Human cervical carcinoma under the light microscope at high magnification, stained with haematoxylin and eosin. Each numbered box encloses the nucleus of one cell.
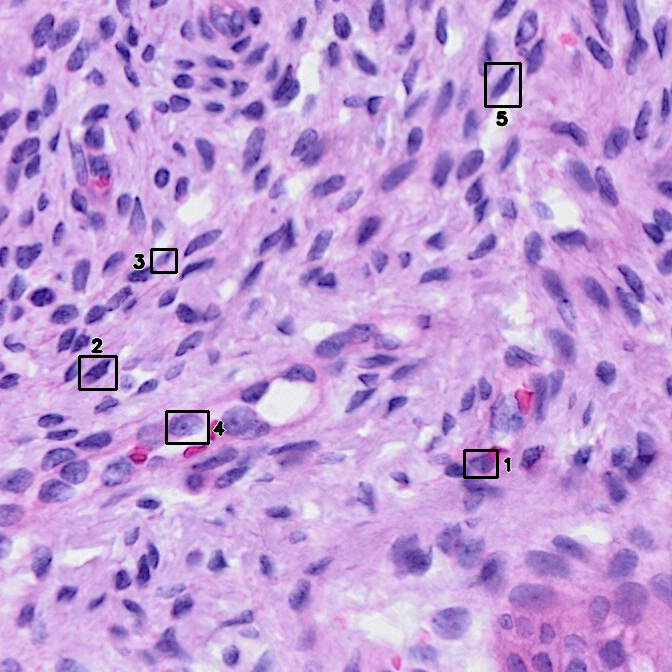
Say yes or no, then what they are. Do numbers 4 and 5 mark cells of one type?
No, cell 4 is an endothelial cell and cell 5 is a fibroblast.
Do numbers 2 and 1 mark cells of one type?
No, cell 2 is a fibroblast and cell 1 is an endothelial cell.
